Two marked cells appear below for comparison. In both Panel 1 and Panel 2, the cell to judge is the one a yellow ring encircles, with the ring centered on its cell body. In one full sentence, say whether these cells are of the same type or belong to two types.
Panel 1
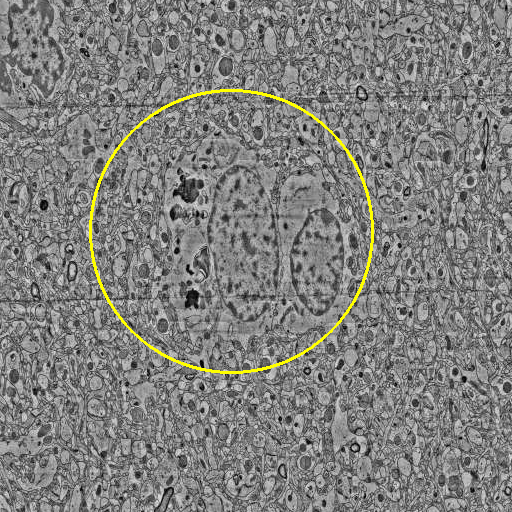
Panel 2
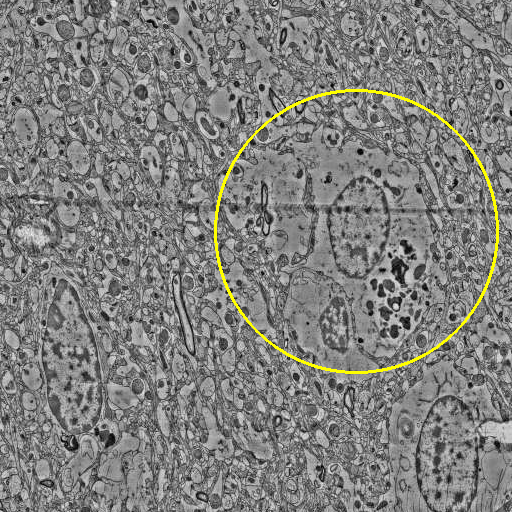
The cell centered in the Panel 1 ring and the one in Panel 2 are of the same type.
